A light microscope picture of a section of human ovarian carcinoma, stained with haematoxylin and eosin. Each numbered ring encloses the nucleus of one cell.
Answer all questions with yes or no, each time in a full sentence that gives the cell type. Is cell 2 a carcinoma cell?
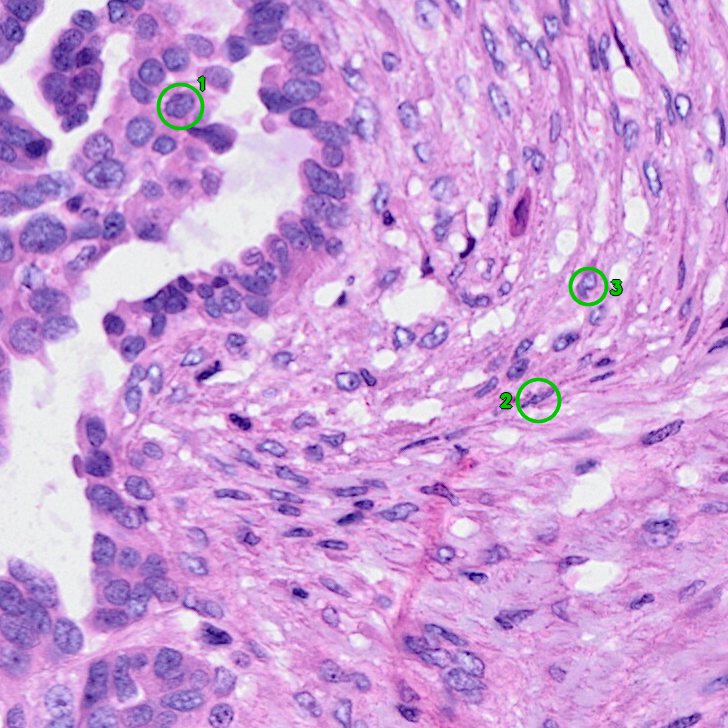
No, the marker 2 sits on a fibroblast, not on a carcinoma cell.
